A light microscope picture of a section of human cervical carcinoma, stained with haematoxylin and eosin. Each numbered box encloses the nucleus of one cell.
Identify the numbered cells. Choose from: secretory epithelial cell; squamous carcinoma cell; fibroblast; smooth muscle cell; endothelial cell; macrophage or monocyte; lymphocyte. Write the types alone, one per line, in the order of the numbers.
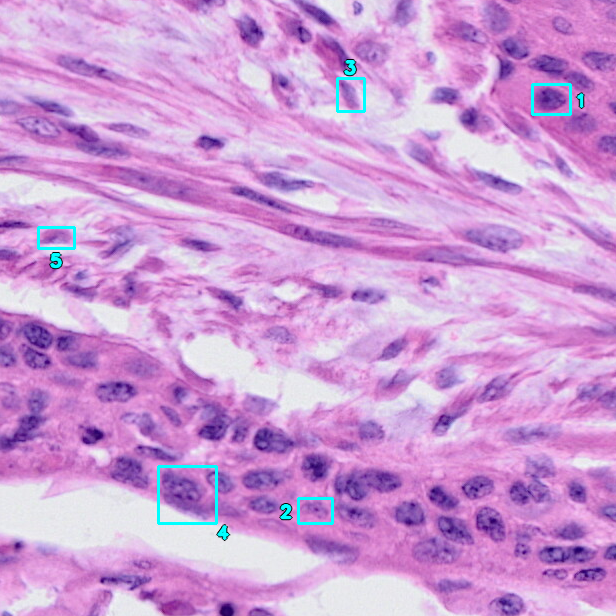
squamous carcinoma cell
squamous carcinoma cell
fibroblast
squamous carcinoma cell
fibroblast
